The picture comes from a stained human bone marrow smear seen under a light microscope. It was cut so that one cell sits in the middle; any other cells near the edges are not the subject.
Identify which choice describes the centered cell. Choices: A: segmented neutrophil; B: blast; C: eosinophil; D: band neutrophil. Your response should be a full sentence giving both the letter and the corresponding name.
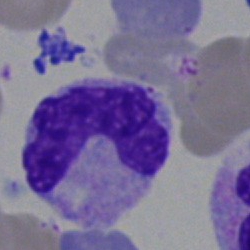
Option D is correct in that the central cell is a band neutrophil.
